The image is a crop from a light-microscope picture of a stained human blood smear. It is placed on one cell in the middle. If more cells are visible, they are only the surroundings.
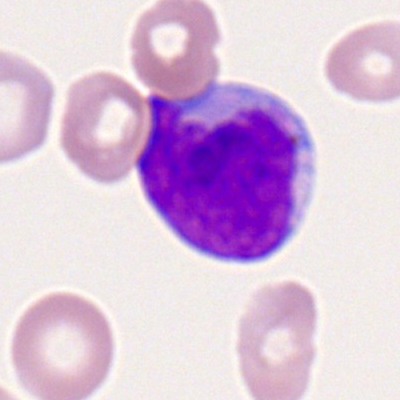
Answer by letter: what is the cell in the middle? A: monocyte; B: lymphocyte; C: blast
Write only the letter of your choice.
C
